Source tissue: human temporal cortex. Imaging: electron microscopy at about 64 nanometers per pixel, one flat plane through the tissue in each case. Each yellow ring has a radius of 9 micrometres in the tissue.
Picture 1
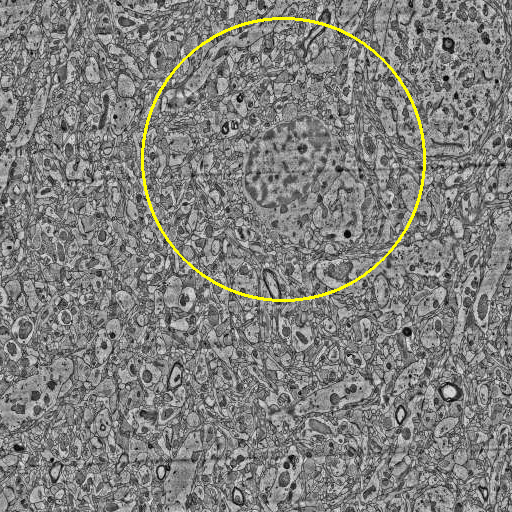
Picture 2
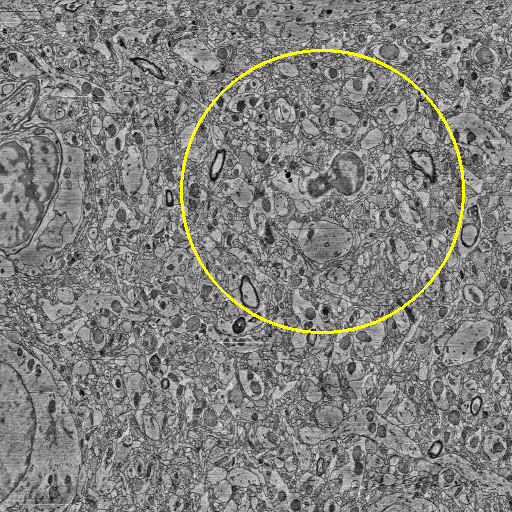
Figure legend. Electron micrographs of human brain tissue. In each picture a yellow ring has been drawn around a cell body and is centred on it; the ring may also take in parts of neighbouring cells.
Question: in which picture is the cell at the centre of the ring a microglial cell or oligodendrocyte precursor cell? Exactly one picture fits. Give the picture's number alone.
2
